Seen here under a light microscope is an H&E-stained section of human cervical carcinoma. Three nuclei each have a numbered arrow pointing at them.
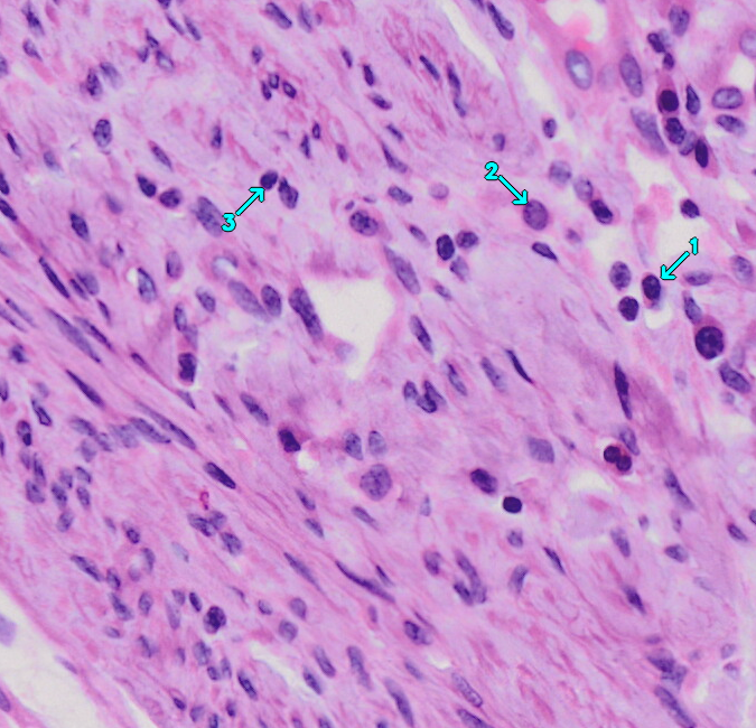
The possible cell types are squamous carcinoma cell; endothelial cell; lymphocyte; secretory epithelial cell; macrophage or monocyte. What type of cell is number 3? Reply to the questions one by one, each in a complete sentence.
The cell given label 3 is a lymphocyte.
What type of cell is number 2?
The cell indicated with the number 2 is classed as a macrophage or monocyte.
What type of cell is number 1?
The cell given label 1 is a lymphocyte.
